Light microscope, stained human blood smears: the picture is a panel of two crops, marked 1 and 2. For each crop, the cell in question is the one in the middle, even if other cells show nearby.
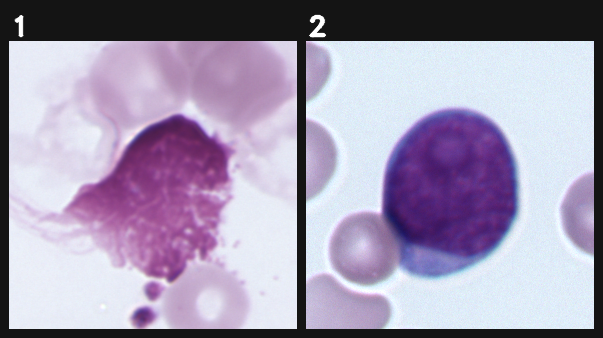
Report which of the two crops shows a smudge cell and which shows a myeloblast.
1: smudge cell
2: myeloblast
